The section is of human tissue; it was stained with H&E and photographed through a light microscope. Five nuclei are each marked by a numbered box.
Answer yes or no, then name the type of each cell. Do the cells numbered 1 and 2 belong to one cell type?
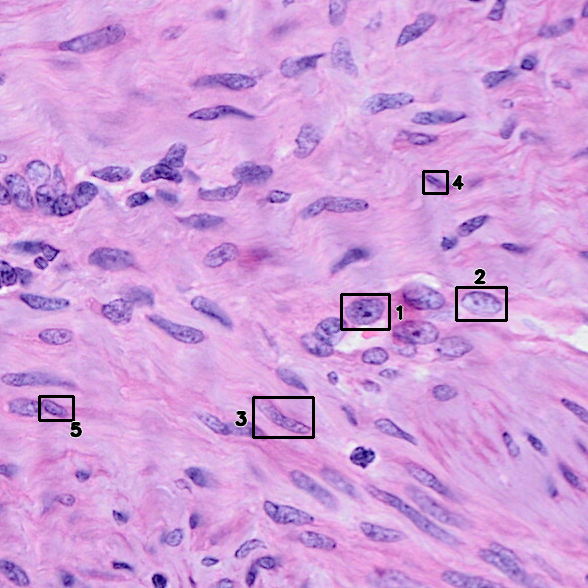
Yes, cells 1 and 2 are both endothelial cells in this section.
